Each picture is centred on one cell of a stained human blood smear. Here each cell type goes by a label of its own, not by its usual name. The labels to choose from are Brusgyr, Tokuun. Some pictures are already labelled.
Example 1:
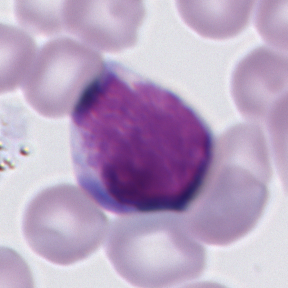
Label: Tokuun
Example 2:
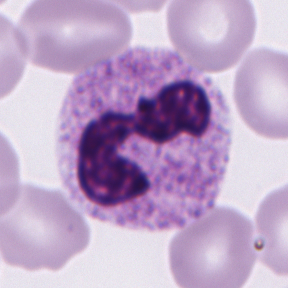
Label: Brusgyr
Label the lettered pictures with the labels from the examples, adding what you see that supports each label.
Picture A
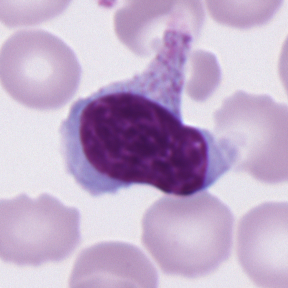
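Answer: Tokuun. The nucleus fills most of the cell body.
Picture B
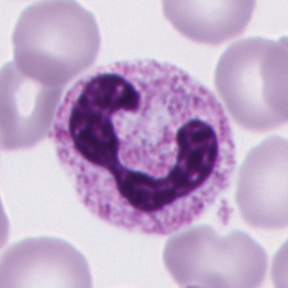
Answer: Brusgyr. The nucleus is one unbroken curved band, not split into separate lobes.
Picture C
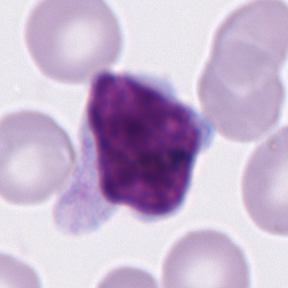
Answer: Tokuun. The cytoplasm is scant compared with the large nucleus.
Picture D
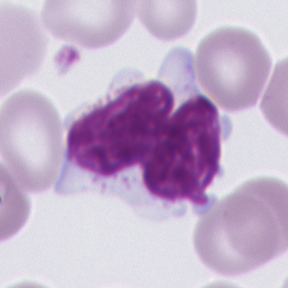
Answer: Tokuun. The cytoplasm is scant compared with the large nucleus.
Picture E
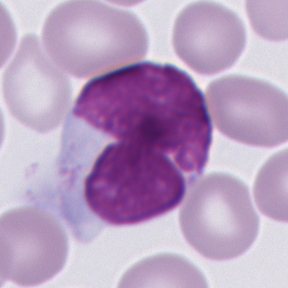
Answer: Tokuun. The nucleus fills most of the cell.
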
